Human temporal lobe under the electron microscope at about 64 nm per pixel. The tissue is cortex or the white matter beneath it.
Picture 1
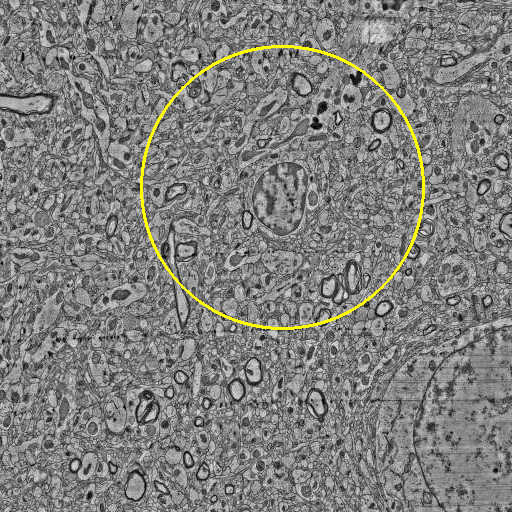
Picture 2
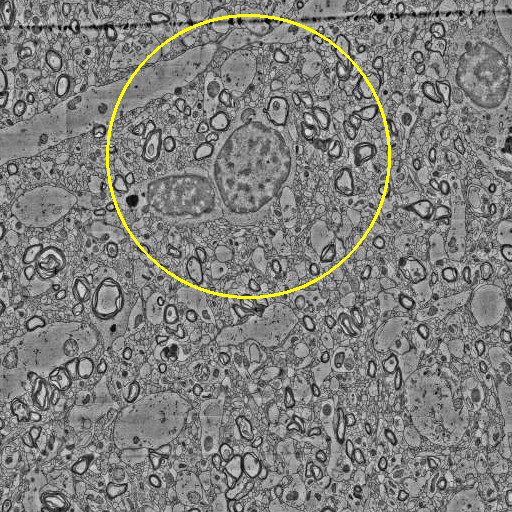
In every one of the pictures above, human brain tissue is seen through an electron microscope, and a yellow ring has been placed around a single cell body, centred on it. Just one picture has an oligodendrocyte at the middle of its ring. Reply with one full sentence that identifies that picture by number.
It is picture 2 that shows the wanted cell at its ring's centre.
